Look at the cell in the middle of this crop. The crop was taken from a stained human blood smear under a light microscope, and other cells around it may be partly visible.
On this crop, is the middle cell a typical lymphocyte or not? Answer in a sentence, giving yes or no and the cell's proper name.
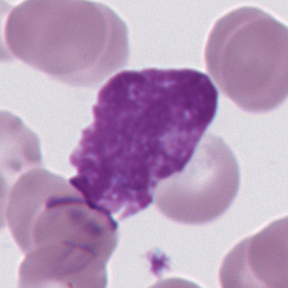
No, this one is a smudge cell; it is not a typical lymphocyte.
